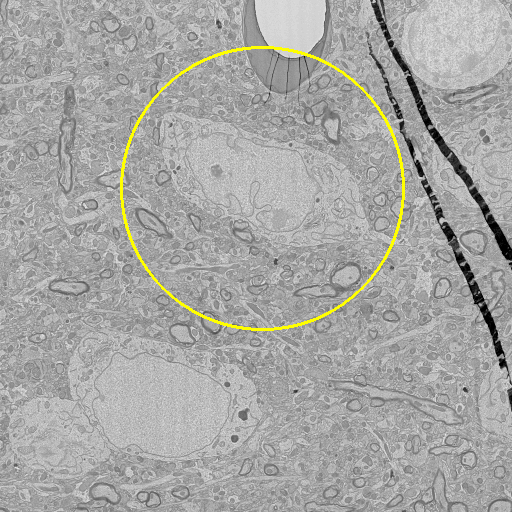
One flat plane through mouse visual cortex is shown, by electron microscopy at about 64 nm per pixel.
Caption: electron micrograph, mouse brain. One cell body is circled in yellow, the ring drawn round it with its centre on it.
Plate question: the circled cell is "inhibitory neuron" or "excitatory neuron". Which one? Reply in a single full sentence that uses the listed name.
The yellow ring on the plate is centred on an inhibitory neuron, going by the listed names.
